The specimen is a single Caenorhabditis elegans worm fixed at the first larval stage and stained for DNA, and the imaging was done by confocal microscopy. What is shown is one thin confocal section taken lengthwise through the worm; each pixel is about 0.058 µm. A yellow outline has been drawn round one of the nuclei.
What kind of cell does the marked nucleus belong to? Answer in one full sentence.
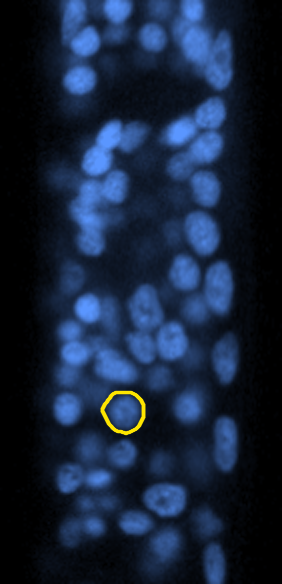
It belongs to a pharyngeal muscle cell.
